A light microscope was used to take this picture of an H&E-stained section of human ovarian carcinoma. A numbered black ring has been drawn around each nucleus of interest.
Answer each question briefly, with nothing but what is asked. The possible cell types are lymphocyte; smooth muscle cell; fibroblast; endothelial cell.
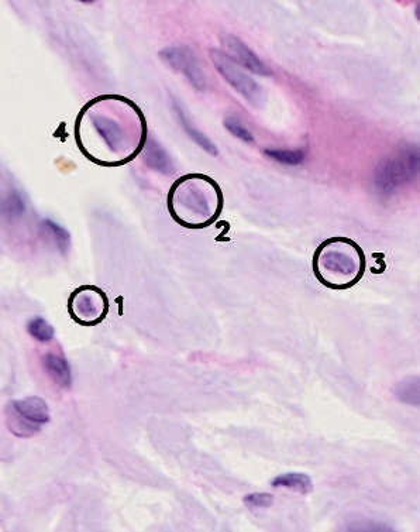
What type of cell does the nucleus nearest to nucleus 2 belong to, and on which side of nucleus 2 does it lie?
an endothelial cell; above and to the left of nucleus 2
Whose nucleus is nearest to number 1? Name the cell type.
lymphocyte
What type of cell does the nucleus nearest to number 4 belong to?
endothelial cell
